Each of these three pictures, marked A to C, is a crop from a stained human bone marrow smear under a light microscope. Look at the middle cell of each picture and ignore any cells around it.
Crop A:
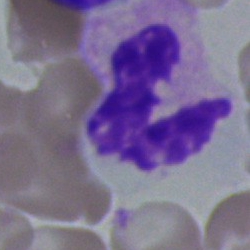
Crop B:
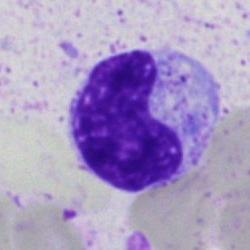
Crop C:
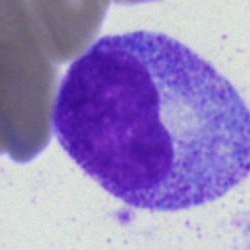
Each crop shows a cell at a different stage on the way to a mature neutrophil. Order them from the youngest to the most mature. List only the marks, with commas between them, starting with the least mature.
C, B, A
